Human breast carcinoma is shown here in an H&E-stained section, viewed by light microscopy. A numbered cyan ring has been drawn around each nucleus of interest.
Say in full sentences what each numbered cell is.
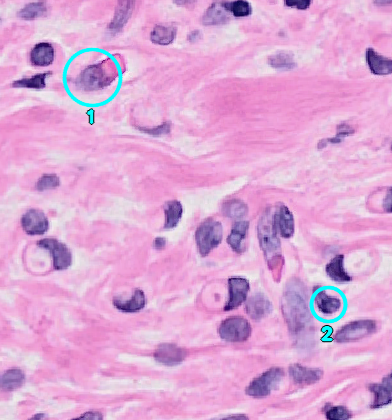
Cell 1 is an endothelial cell. Cell 2 is a lymphocyte.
